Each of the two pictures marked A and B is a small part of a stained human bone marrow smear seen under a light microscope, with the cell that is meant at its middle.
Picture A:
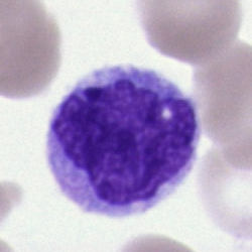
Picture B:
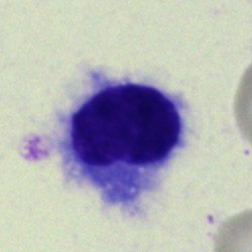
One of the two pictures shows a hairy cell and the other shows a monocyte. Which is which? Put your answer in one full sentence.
Picture A is of a monocyte, and picture B is of a hairy cell.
